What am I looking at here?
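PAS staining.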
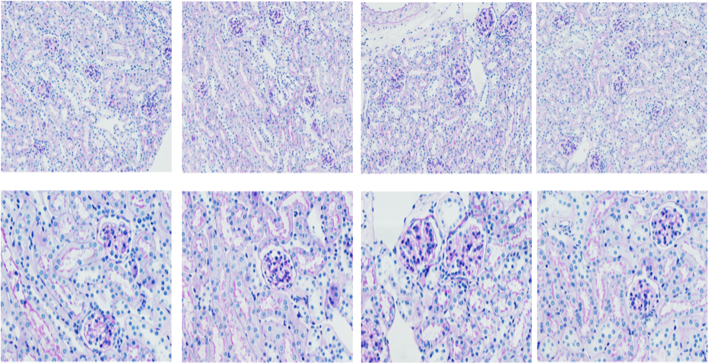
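Kidney cortex with round glomeruli, each a compact tuft of capillary loops crowded with dark purple nuclei and set within a narrow clear space. Around the glomeruli lie closely packed tubules in cross and oblique section, lined by cuboidal epithelial cells with round blue-purple nuclei.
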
